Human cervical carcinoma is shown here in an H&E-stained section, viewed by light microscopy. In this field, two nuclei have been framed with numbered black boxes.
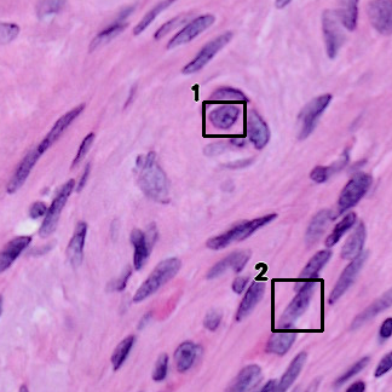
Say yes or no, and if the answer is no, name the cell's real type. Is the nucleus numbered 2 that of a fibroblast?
Yes.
